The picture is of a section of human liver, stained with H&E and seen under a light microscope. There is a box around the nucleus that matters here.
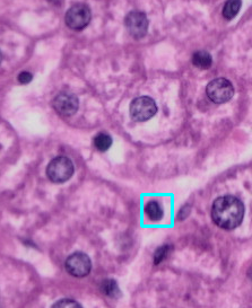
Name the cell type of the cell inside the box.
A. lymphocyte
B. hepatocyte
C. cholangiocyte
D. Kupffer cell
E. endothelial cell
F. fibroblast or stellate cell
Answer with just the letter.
A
